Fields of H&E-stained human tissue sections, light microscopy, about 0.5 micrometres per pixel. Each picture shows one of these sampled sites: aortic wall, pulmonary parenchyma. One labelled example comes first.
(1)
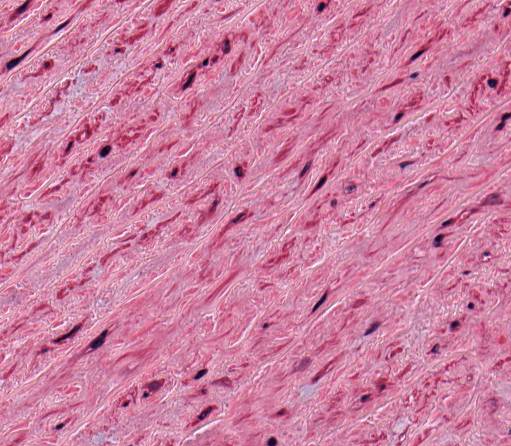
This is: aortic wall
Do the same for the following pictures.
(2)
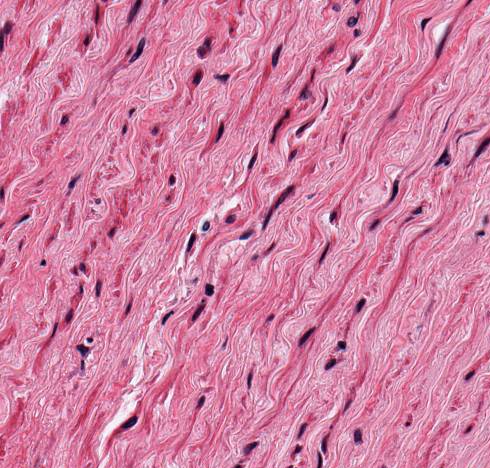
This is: aortic wall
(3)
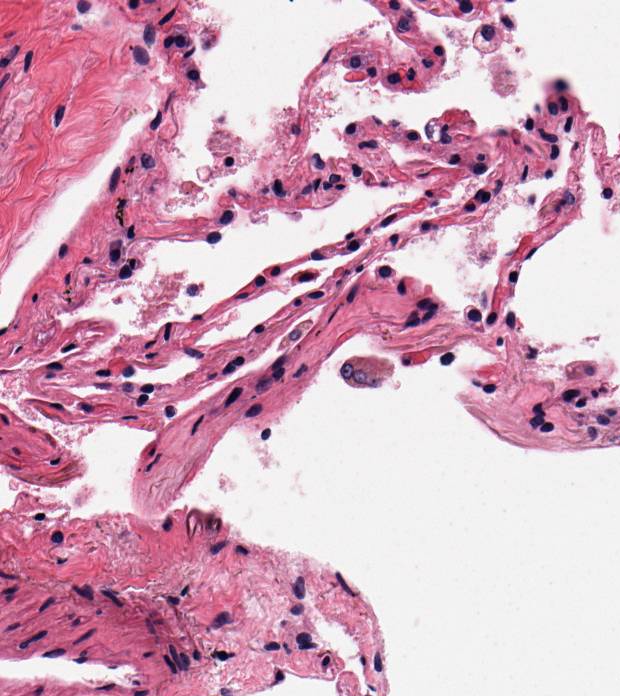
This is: pulmonary parenchyma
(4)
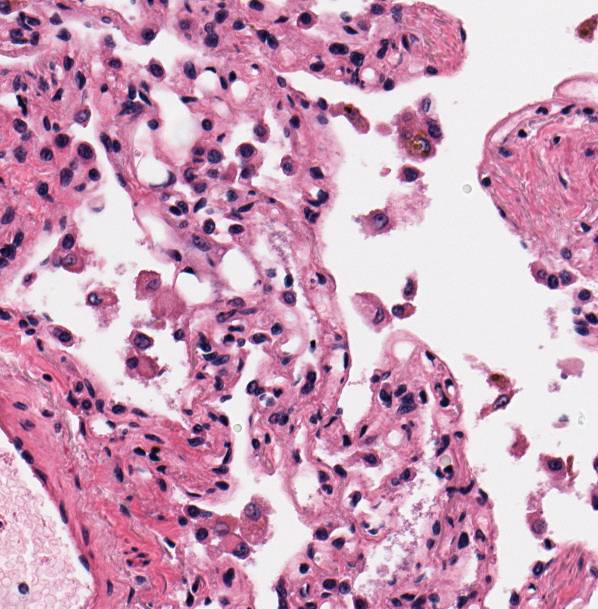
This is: pulmonary parenchyma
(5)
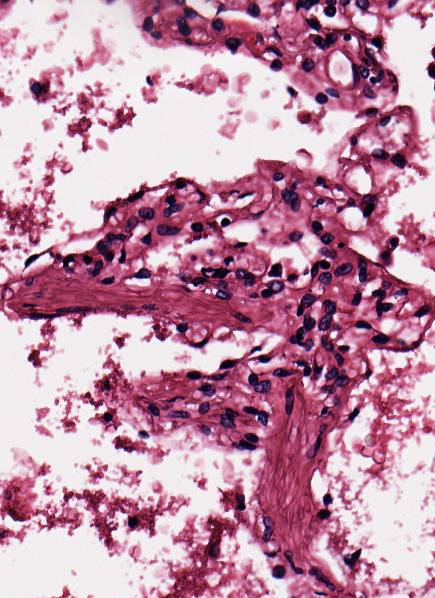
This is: pulmonary parenchyma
